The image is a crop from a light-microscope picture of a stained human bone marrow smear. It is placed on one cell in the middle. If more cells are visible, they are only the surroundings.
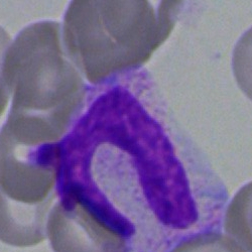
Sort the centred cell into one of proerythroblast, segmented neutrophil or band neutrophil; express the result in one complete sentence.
The cell occupying the middle of the crop is a band neutrophil.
